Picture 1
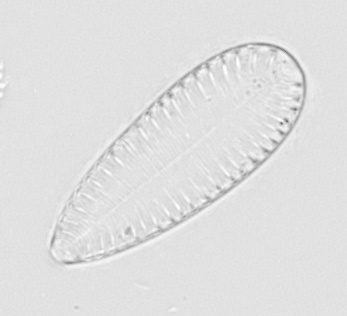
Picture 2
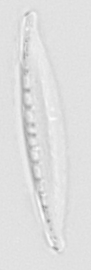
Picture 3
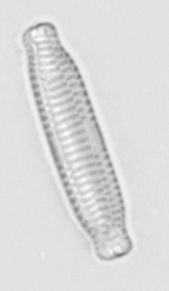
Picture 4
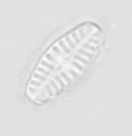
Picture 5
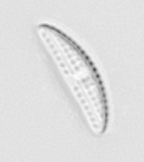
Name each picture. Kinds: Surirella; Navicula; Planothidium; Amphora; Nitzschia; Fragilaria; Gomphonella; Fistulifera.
1: Surirella
2: Nitzschia
3: Fragilaria
4: Planothidium
5: Amphora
